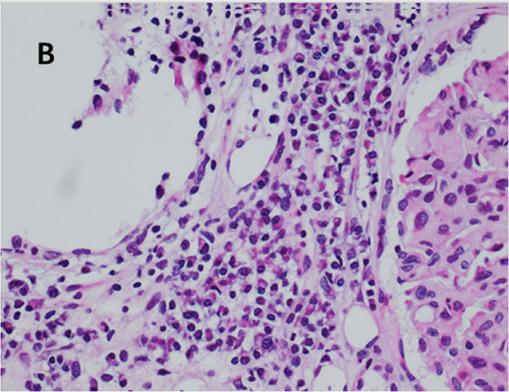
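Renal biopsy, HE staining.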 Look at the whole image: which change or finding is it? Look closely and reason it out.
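Some cells have eccentric nuclei and more pink cytoplasm.
Answer: Lymphocyte and plasma cell infiltration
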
